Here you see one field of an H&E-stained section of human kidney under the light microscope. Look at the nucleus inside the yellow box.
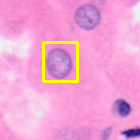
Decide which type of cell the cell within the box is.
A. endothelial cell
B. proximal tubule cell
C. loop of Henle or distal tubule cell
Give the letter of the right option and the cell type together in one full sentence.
In this case the cell within the box is a proximal tubule cell, so option B is correct.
